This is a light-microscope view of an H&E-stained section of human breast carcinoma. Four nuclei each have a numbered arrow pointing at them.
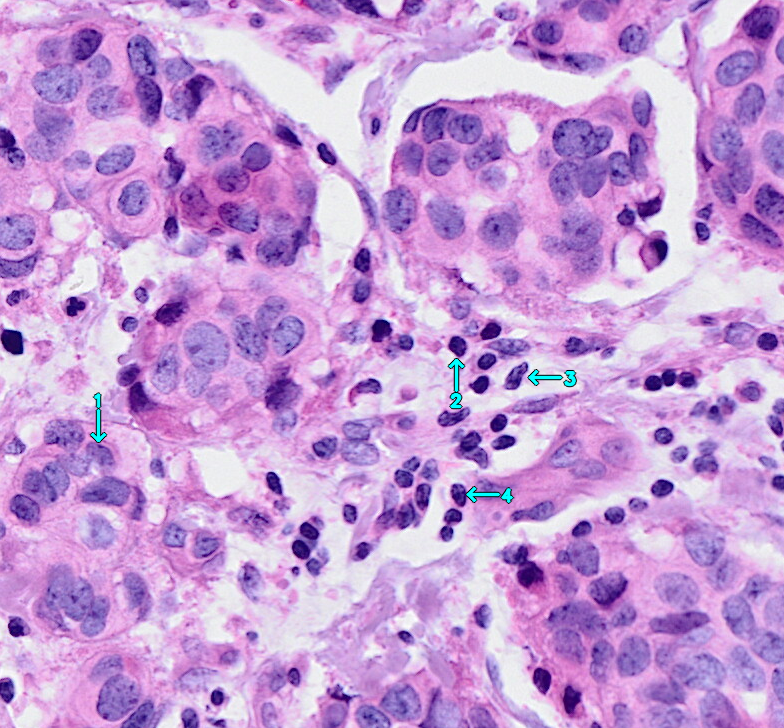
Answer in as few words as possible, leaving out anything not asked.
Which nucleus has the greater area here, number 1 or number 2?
1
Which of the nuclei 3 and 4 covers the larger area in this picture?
3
